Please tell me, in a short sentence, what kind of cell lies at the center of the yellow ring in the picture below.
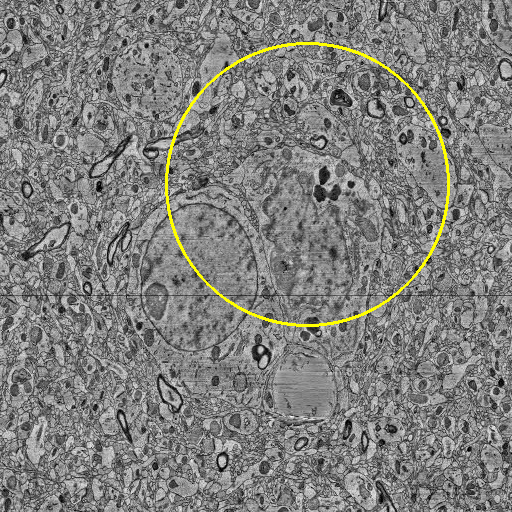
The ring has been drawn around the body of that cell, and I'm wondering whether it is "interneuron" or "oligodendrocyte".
The cell at the center of the ring is an interneuron.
